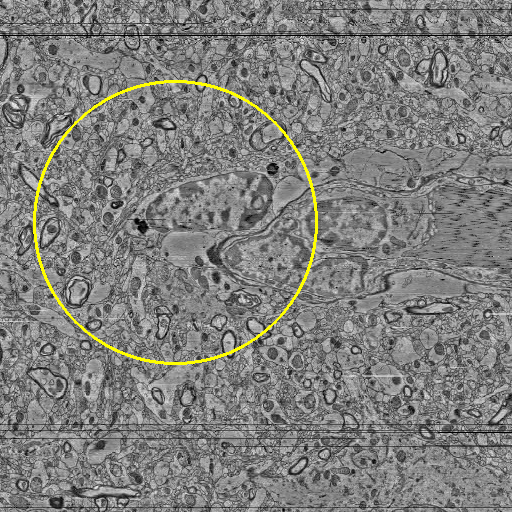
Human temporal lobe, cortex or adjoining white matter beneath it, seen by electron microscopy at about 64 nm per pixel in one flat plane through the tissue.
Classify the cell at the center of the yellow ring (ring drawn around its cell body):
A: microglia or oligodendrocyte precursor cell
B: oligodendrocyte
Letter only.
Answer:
A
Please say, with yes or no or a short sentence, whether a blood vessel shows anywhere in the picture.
Yes, one shows.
